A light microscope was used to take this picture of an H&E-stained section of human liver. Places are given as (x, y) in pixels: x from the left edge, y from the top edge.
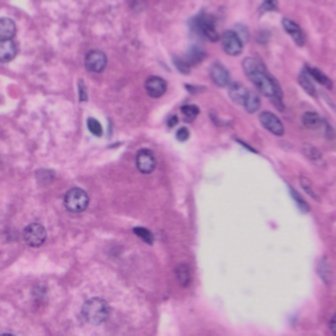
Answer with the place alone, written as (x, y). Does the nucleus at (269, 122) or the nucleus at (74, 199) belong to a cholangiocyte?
(269, 122)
